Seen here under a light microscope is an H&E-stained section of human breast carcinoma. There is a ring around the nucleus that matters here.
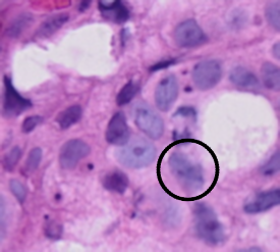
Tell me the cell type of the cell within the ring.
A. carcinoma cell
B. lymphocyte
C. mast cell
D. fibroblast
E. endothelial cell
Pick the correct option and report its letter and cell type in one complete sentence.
Option A wins here: the cell within the ring is a carcinoma cell.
